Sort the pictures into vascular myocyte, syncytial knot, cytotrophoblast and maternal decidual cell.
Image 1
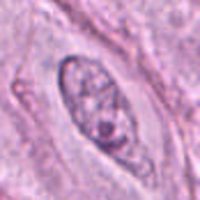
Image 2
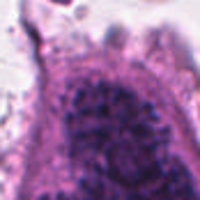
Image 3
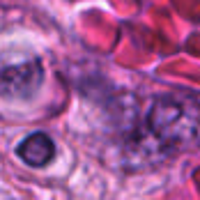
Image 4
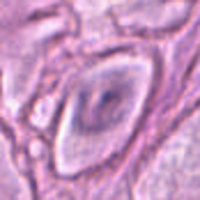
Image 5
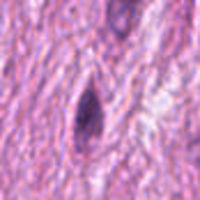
Maternal decidual cells: 1, 4
Syncytial knots: 2
Cytotrophoblasts: 3
Vascular myocytes: 5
